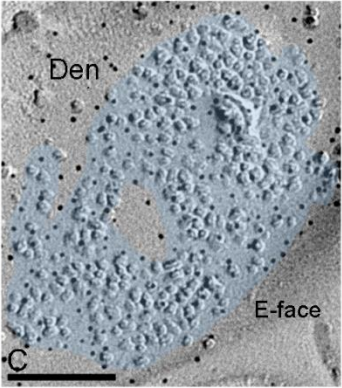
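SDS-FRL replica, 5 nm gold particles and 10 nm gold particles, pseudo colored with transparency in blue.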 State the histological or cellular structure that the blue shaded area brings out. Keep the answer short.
Postsynaptic membrane specializations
